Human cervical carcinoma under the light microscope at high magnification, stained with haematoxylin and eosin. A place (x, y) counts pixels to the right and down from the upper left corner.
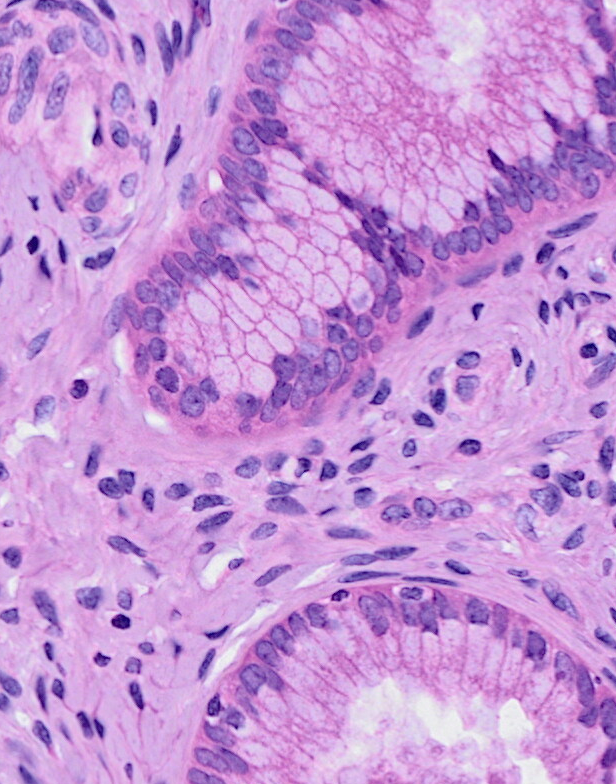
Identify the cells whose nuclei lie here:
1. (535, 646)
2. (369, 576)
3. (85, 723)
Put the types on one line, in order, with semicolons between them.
secretory epithelial cell; fibroblast; fibroblast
